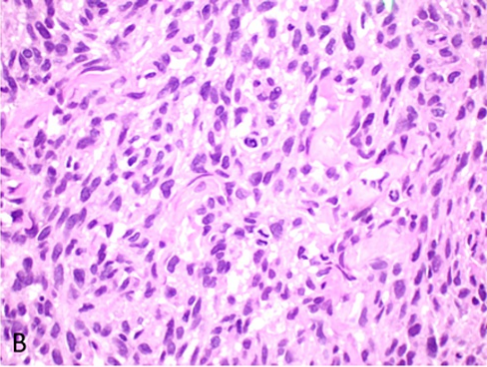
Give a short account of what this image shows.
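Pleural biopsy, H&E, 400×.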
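This is a tumor made of spindle-shaped cells lying in a pink fibrillary stroma. The cells have elongated to oval nuclei that are stained dark purple and differ clearly in size and shape from one another. Some nuclei are plump and enlarged, while the pale pink cytoplasm is drawn out into tapering ends. The cells run in loose, intersecting bundles with strands of pink collagen between them.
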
